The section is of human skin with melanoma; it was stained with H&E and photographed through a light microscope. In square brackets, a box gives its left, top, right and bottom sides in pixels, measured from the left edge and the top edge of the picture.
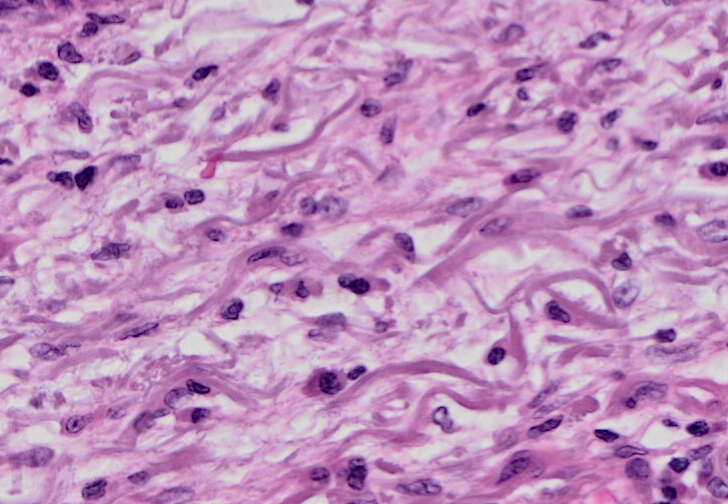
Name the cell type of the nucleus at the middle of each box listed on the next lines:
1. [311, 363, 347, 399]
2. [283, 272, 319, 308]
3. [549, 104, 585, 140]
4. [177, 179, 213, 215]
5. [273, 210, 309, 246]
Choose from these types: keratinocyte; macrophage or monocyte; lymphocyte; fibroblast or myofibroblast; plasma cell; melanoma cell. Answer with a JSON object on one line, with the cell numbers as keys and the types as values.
{"1": "plasma cell", "2": "macrophage or monocyte", "3": "plasma cell", "4": "lymphocyte", "5": "plasma cell"}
